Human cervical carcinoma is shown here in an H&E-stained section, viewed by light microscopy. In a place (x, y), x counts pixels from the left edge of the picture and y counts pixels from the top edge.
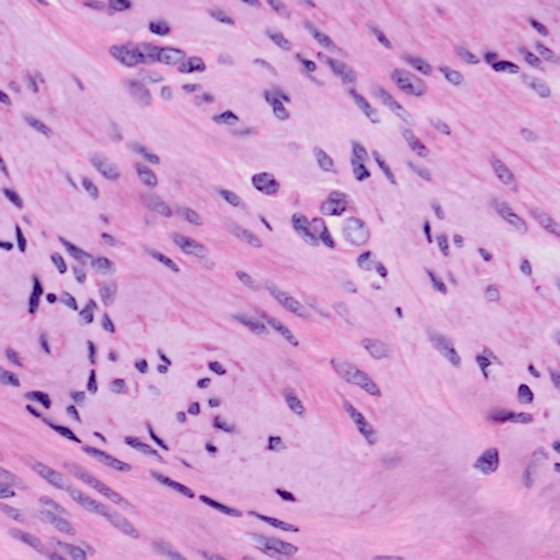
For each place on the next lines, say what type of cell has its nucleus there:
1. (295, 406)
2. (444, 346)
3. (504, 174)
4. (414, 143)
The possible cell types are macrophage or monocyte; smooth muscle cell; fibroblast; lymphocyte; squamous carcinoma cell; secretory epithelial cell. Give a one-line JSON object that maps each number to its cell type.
{"1": "smooth muscle cell", "2": "fibroblast", "3": "smooth muscle cell", "4": "smooth muscle cell"}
